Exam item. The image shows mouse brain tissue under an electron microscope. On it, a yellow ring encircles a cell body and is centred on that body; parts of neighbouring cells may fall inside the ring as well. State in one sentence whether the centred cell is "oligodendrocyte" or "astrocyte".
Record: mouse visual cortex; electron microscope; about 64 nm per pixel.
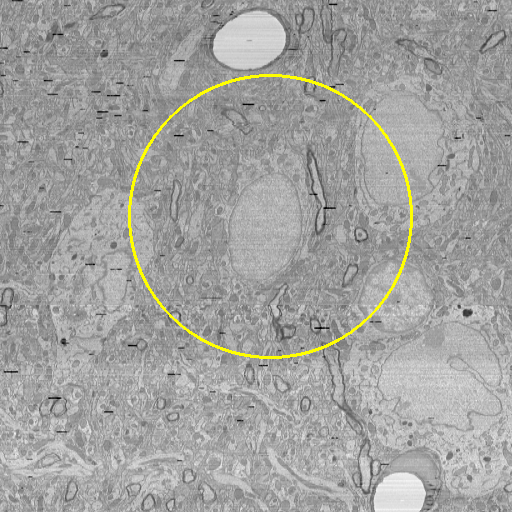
The cell body centred in the ring is an astrocyte.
